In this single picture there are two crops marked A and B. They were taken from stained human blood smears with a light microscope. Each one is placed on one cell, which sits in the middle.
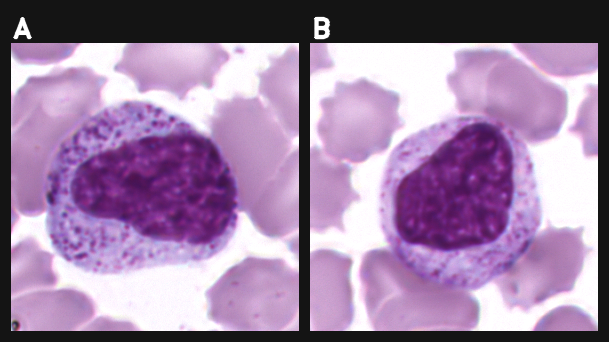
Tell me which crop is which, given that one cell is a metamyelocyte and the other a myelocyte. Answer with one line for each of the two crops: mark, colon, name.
A: myelocyte
B: metamyelocyte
